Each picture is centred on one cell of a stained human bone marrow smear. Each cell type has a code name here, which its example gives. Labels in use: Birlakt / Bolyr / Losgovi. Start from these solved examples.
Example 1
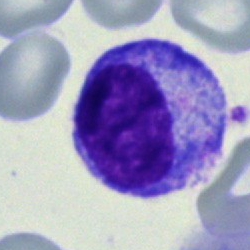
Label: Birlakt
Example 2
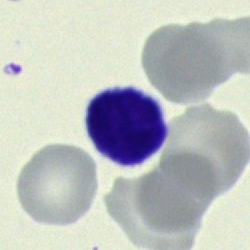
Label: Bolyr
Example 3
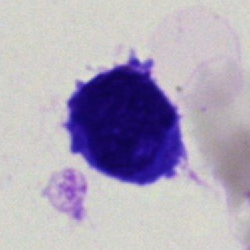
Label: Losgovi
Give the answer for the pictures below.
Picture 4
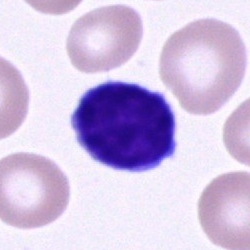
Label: Bolyr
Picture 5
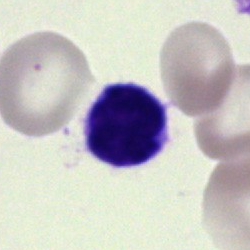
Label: Bolyr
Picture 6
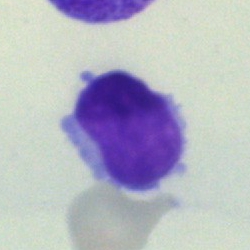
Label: Bolyr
